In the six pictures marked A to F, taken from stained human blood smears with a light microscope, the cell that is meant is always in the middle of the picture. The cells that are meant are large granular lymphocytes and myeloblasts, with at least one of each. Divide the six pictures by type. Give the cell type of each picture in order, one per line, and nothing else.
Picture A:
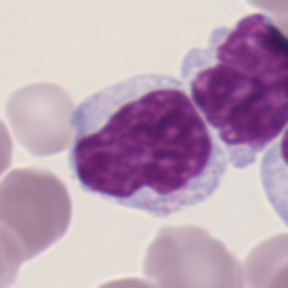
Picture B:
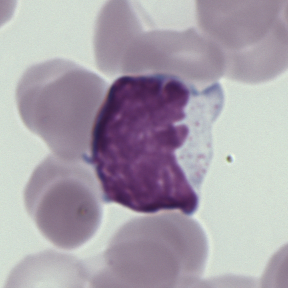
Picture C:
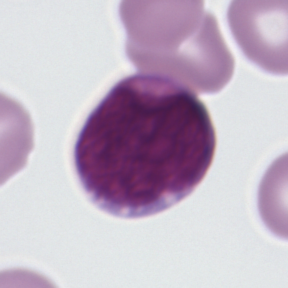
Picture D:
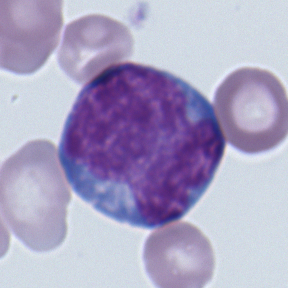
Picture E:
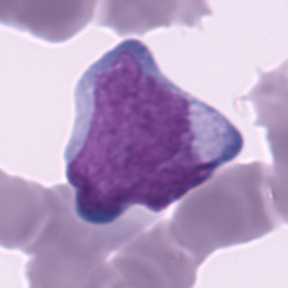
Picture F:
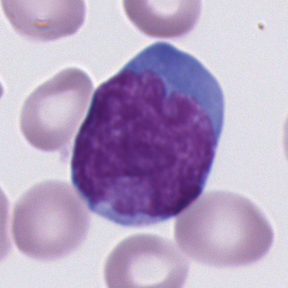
large granular lymphocyte
large granular lymphocyte
myeloblast
myeloblast
myeloblast
myeloblast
